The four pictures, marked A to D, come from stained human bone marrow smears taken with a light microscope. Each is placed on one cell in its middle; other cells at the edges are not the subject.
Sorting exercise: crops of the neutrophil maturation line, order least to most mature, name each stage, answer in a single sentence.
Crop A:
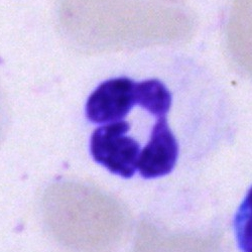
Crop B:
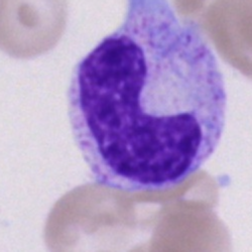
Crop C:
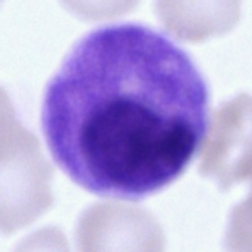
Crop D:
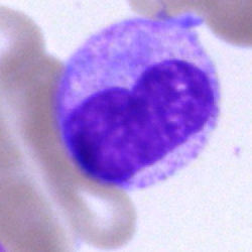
The maturity sequence, least mature to most mature, is crop C (a promyelocyte), crop D (a metamyelocyte), crop B (a band neutrophil) and crop A (a segmented neutrophil).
